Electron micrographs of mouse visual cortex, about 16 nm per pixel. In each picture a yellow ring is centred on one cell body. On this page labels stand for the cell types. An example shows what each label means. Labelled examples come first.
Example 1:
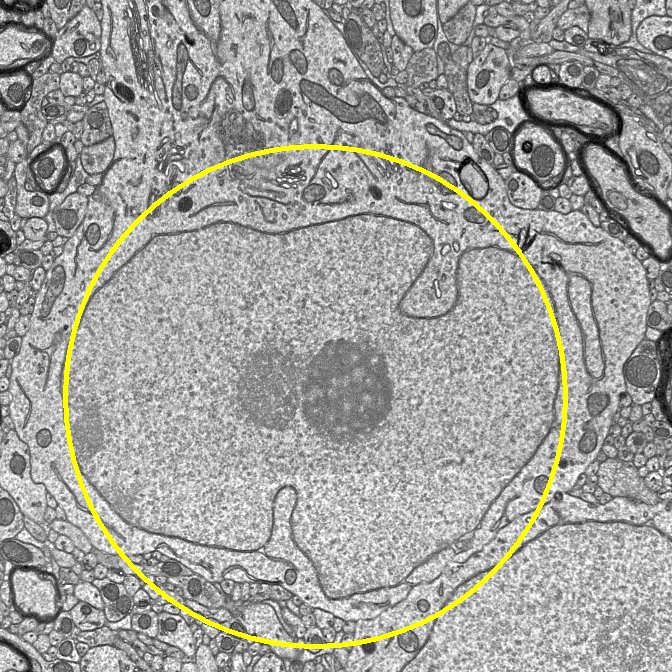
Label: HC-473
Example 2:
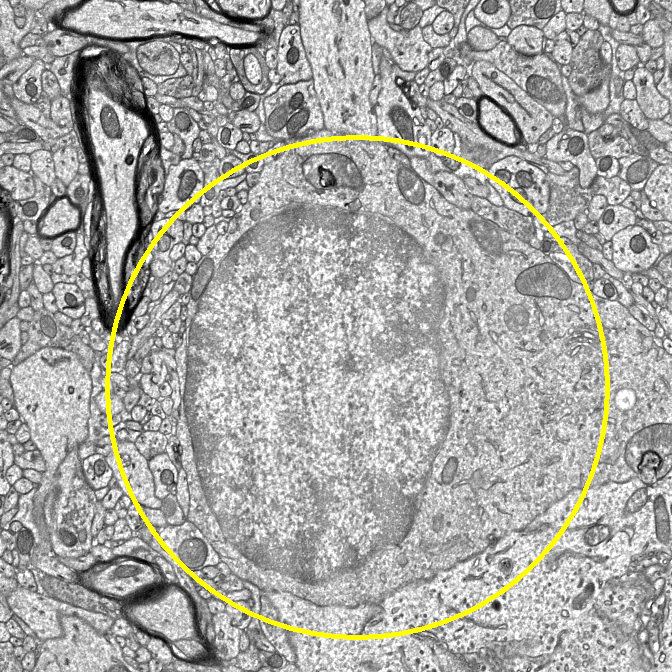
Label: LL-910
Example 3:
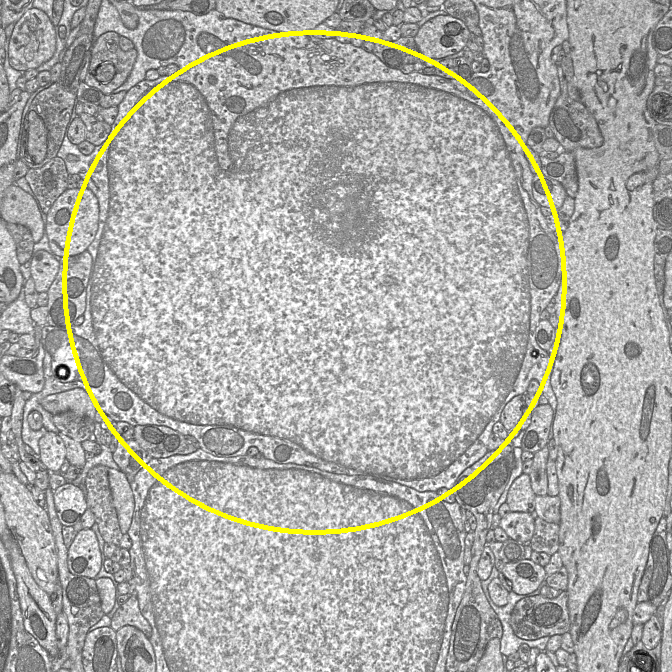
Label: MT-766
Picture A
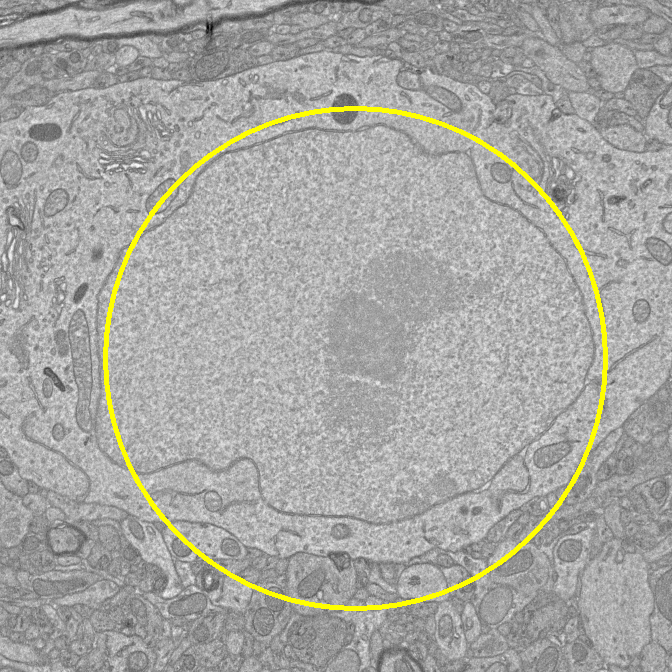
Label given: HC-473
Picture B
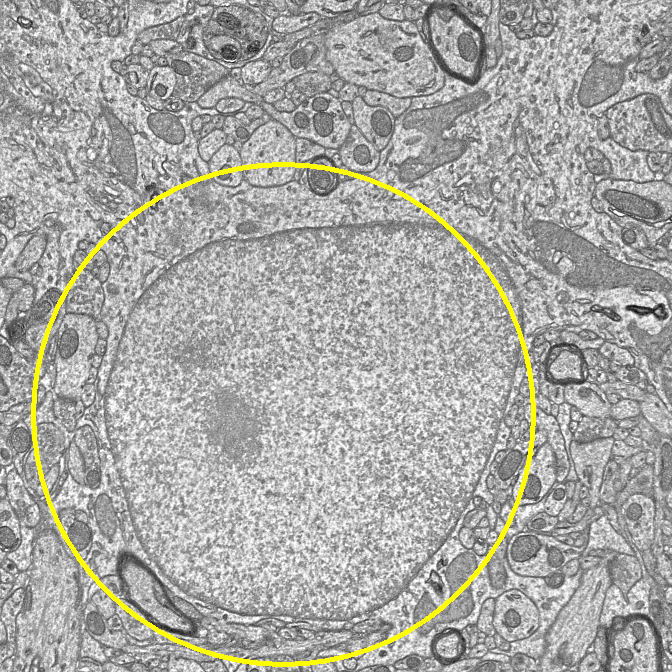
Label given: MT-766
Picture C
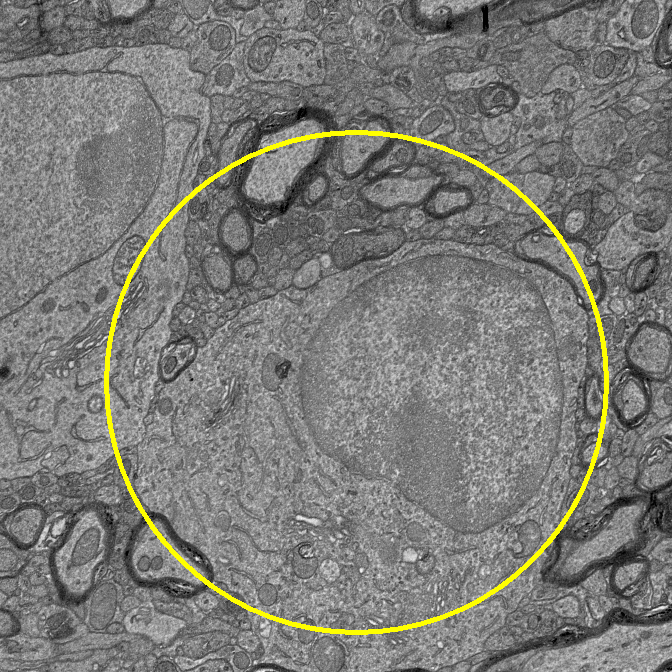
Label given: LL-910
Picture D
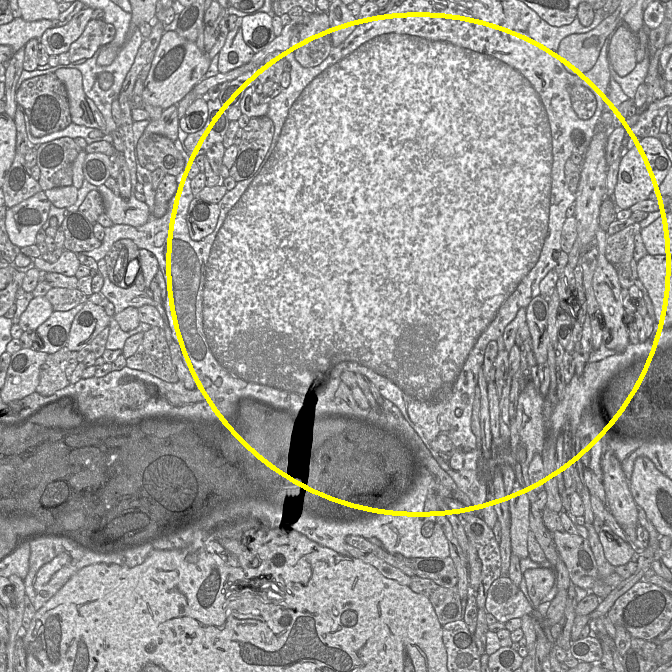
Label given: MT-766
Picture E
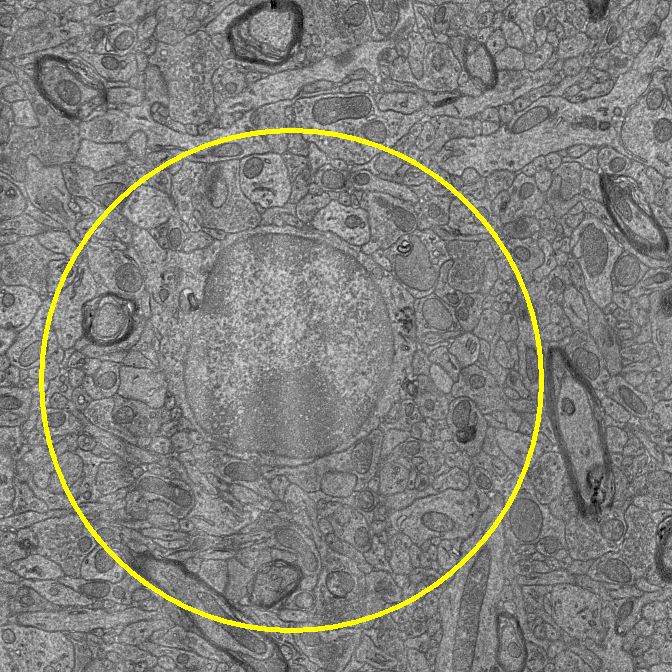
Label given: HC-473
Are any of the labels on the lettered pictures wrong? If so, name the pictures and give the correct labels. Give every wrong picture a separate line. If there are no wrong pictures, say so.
E: change HC-473 to LL-910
